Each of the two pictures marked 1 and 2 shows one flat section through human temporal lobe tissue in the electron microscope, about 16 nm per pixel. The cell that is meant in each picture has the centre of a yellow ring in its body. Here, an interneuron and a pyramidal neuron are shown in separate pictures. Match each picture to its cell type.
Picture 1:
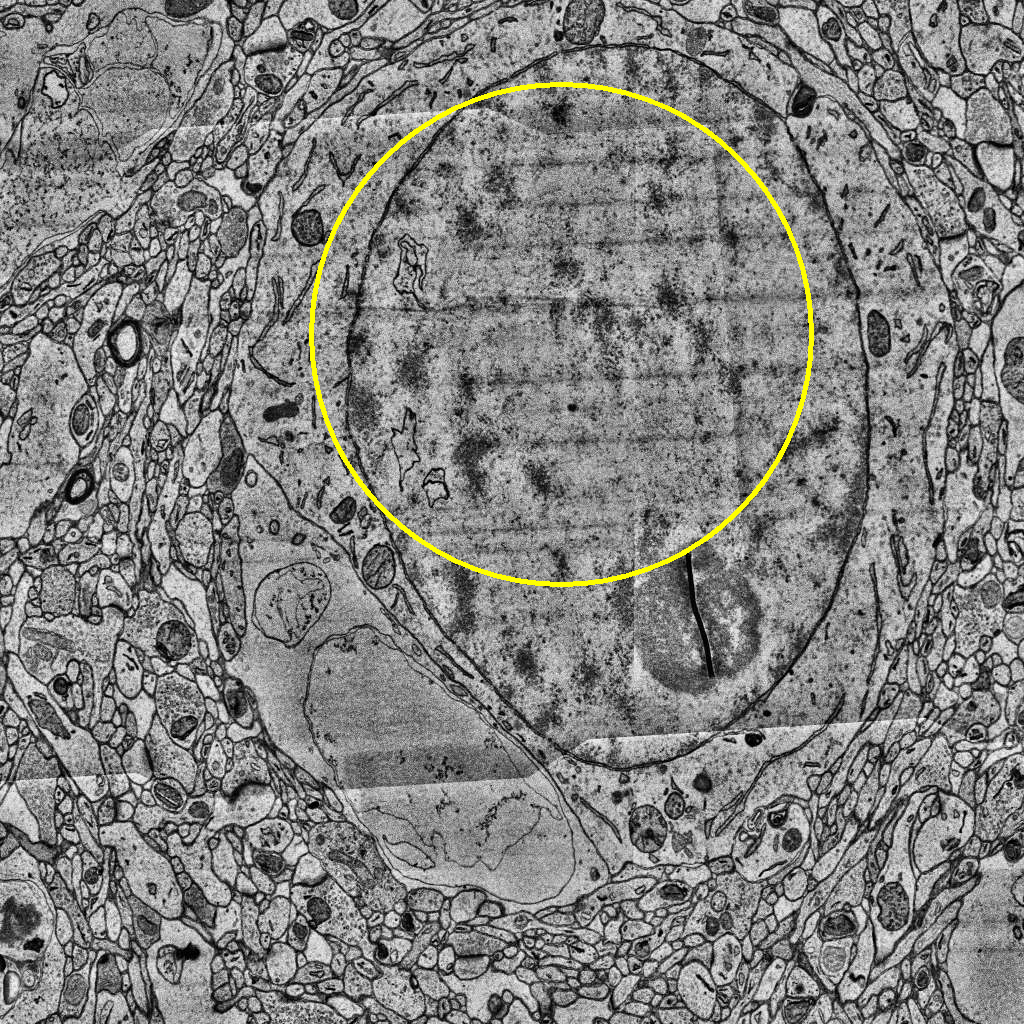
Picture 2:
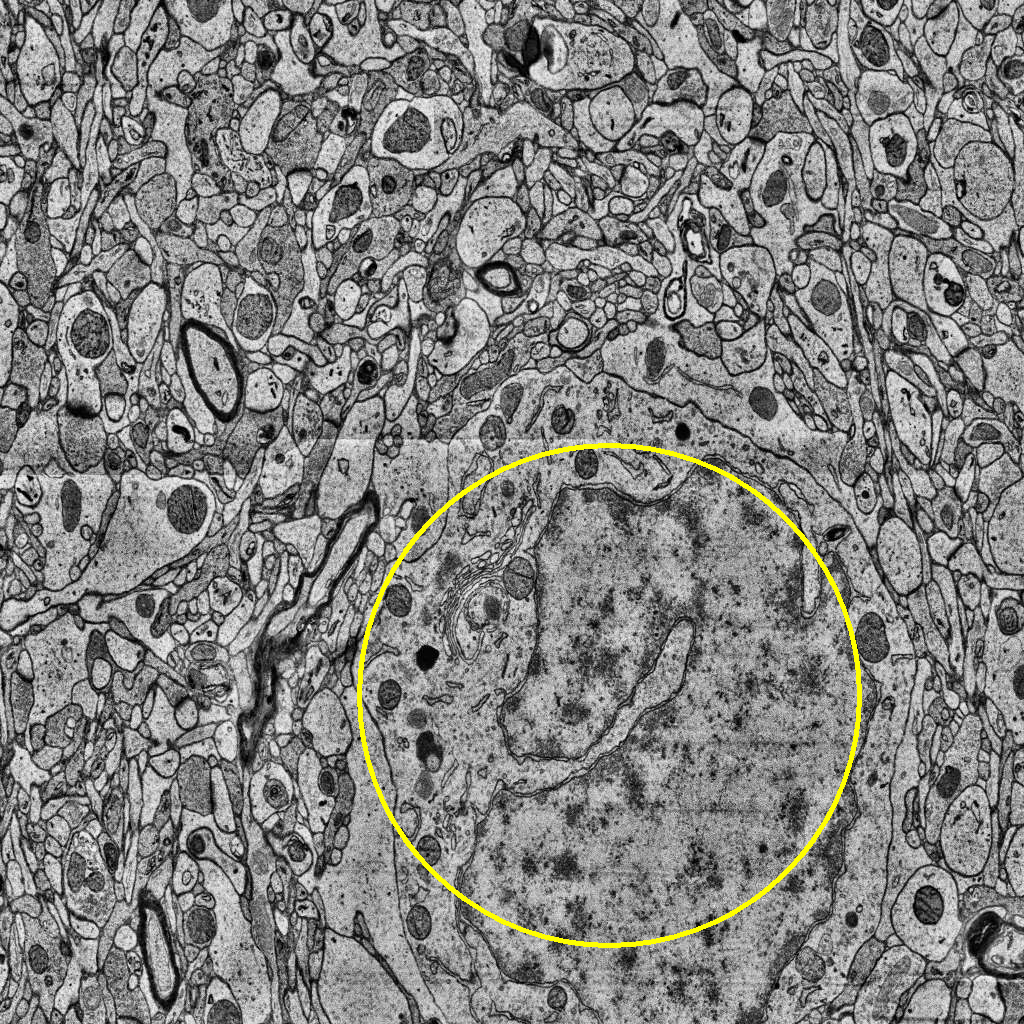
In picture 1 the cell is a pyramidal neuron; in picture 2, an interneuron.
